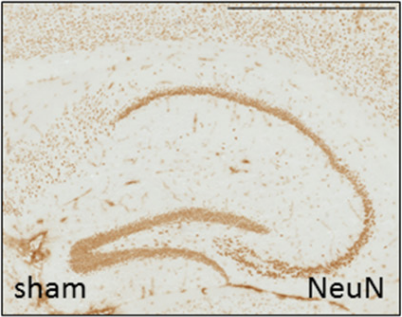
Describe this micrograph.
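The neurons are packed into a long curved band that arches over a second, V-shaped band of small densely packed cells, the granule cell layer of the dentate gyrus. Above, the cortex shows many scattered brown nuclei, separated from the hippocampus by a pale band of white matter.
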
